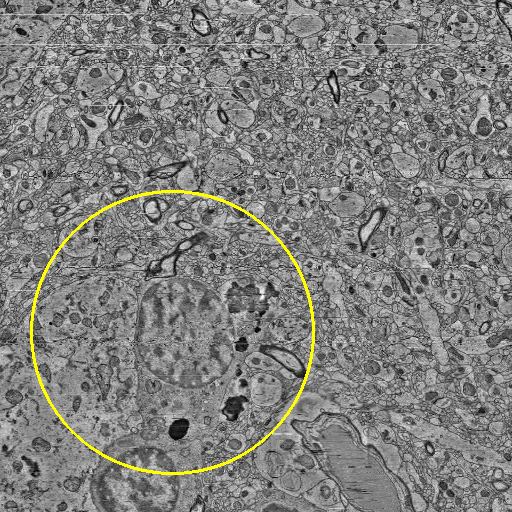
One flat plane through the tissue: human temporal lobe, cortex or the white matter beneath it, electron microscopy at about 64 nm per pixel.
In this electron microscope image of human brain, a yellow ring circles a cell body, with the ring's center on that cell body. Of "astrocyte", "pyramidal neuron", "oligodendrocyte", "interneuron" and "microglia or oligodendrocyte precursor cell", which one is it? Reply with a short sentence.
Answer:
It is an oligodendrocyte at the center of the ring.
